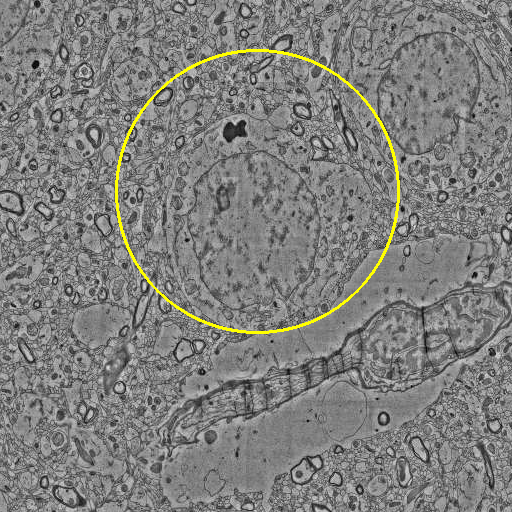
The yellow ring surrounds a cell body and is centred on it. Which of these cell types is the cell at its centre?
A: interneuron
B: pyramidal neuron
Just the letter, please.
B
